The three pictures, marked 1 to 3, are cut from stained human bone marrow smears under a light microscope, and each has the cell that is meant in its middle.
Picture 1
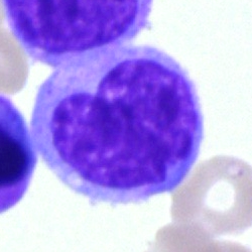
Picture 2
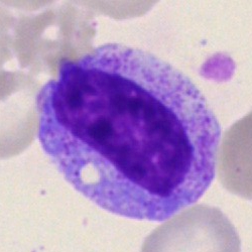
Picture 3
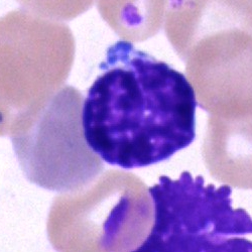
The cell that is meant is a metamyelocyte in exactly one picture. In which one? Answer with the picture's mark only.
2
